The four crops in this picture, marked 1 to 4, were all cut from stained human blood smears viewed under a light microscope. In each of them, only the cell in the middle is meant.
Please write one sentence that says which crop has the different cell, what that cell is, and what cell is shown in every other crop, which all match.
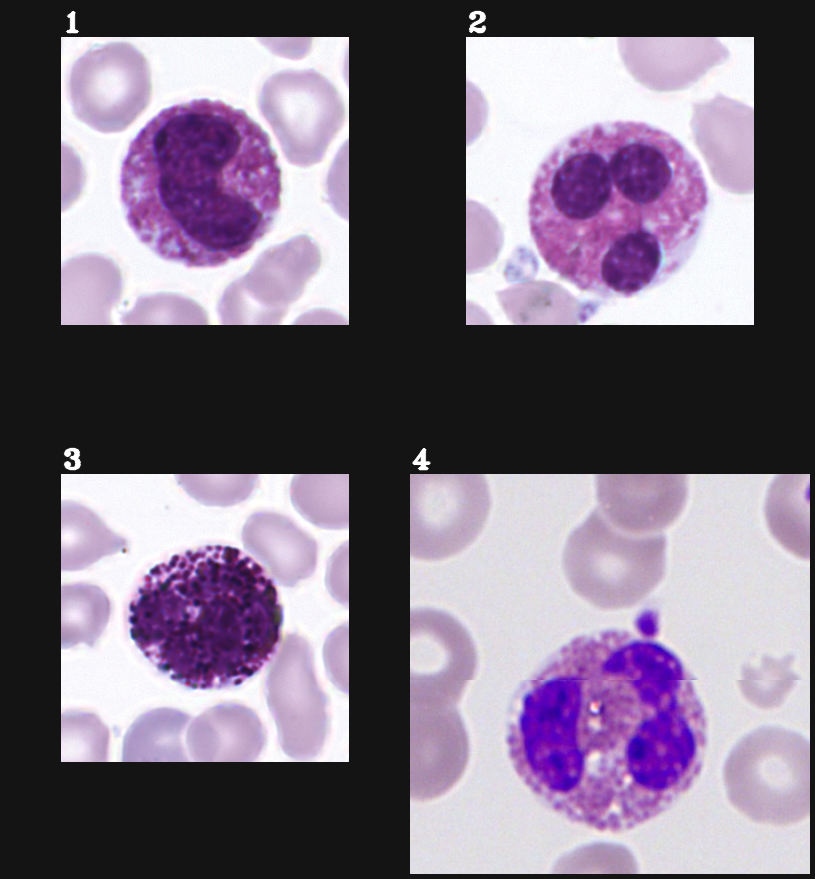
Found in all crops but one are eosinophils; the exception, crop 3, contains a basophil.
